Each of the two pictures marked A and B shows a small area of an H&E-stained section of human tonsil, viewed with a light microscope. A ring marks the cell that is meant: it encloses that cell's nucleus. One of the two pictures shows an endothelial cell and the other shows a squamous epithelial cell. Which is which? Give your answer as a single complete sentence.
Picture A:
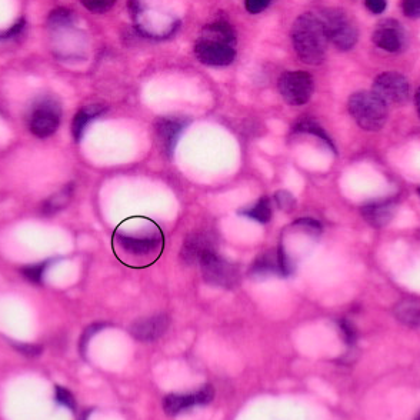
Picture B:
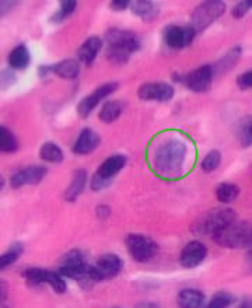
Picture A shows a squamous epithelial cell and picture B shows an endothelial cell.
